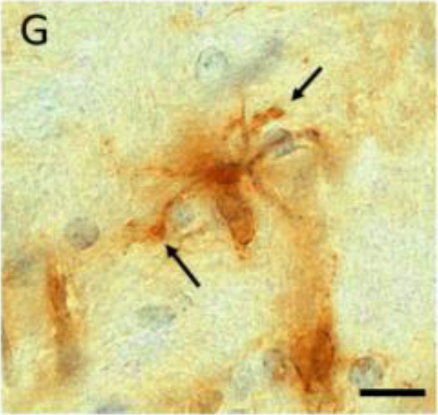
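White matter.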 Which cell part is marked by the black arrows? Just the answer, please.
bulbous ending processes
